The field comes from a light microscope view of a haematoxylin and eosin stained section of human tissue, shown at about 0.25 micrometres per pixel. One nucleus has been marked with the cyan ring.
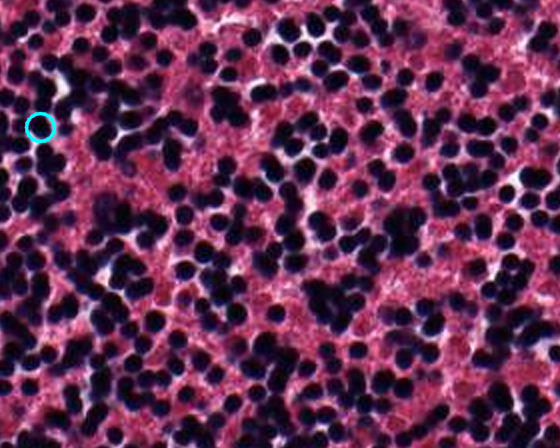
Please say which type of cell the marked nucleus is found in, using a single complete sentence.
The marked nucleus is housed in a cerebellar granule cell.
